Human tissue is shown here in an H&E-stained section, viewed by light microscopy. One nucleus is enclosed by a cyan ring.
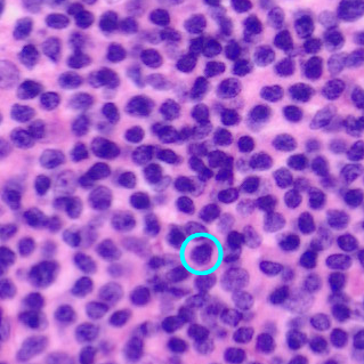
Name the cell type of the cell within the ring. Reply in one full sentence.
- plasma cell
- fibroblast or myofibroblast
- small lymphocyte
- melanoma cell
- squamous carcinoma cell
Right, so the cell within the ring is a small lymphocyte, to answer that.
